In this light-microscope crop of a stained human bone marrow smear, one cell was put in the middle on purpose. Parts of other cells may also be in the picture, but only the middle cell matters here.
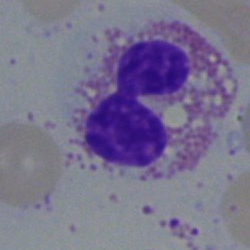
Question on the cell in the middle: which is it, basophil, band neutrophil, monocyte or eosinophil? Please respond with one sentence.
The target cell in the middle of the crop is an eosinophil.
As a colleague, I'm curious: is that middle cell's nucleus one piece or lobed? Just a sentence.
Nuclear material here is separated into two or more segments.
